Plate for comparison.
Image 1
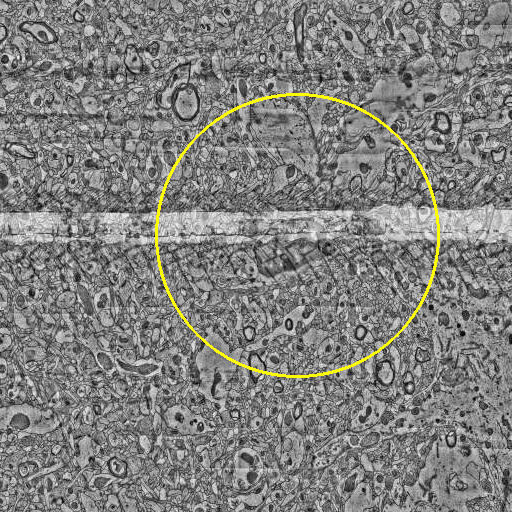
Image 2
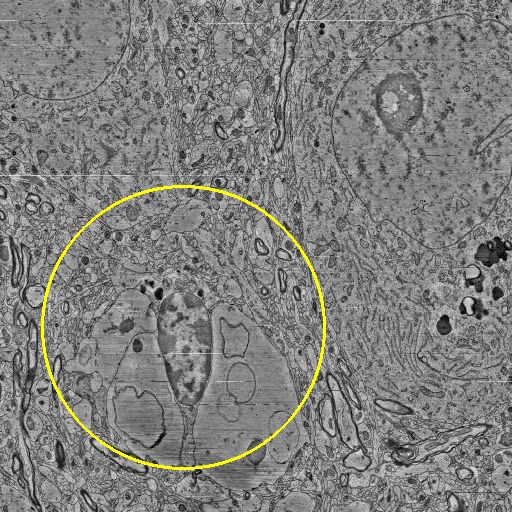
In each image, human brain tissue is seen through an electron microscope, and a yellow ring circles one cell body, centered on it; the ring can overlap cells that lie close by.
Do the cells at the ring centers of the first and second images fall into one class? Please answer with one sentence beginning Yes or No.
Yes, the first and second images show a single class of cell at the ring centers.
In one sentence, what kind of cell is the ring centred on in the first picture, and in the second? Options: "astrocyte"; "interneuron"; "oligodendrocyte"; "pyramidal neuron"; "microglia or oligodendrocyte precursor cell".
Both rings mark a microglial cell or oligodendrocyte precursor cell, one in each picture.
